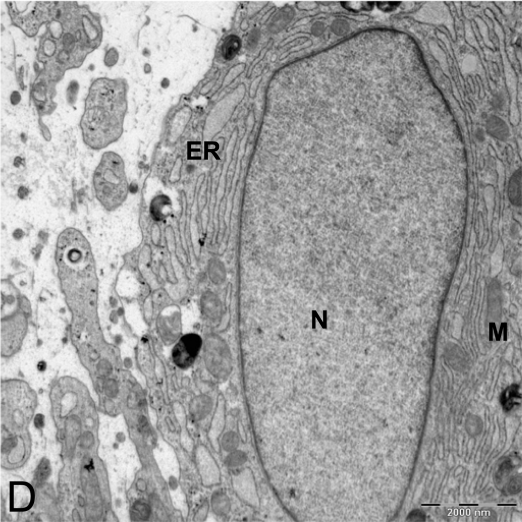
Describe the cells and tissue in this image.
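This electron micrograph shows an elongated cell with a euchromatic nucleus. The large oval nucleus is evenly pale and finely granular, bounded by a smooth envelope. On both sides the cytoplasm holds parallel, elongated cisternae of rough endoplasmic reticulum together with numerous mitochondria. A few dark dense bodies lie in the cytoplasm, and cell processes and pale extracellular material lie to the left.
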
